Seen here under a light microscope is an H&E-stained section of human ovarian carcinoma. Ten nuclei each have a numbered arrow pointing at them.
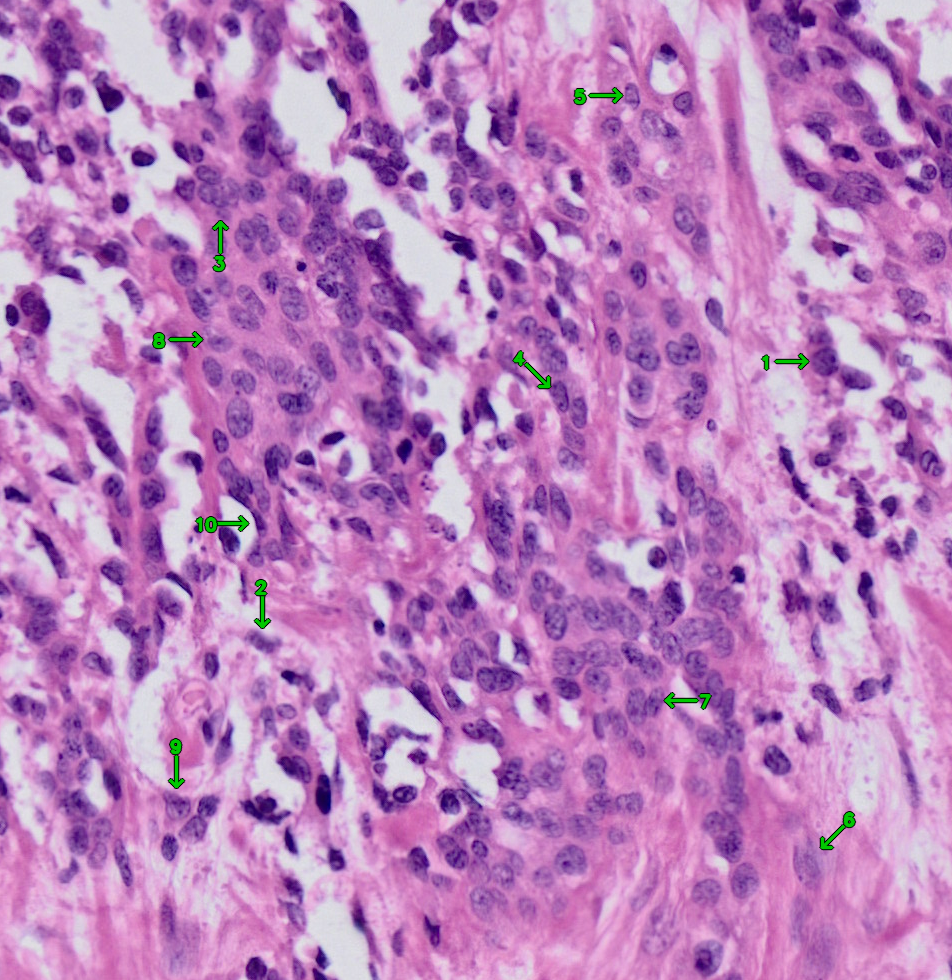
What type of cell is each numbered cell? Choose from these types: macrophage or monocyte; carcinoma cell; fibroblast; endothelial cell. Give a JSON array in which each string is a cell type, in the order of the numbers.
["carcinoma cell", "fibroblast", "carcinoma cell", "carcinoma cell", "macrophage or monocyte", "fibroblast", "carcinoma cell", "carcinoma cell", "macrophage or monocyte", "carcinoma cell"]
